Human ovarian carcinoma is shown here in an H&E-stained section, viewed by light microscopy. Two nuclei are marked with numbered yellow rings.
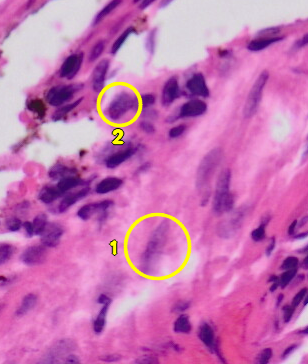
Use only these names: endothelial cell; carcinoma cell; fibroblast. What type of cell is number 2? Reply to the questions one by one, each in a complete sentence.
The mark numbered 2 indicates the nucleus of a carcinoma cell.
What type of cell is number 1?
The cell assigned the number 1 is a fibroblast.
